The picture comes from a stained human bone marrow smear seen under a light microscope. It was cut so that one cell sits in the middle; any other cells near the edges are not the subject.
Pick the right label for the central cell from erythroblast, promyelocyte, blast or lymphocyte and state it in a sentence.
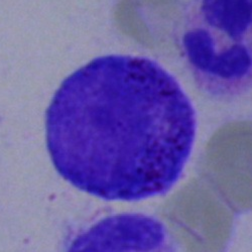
The cell nearest the centre of this crop is a promyelocyte.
